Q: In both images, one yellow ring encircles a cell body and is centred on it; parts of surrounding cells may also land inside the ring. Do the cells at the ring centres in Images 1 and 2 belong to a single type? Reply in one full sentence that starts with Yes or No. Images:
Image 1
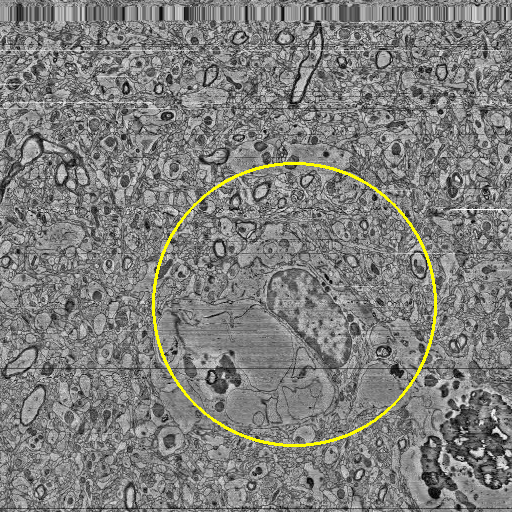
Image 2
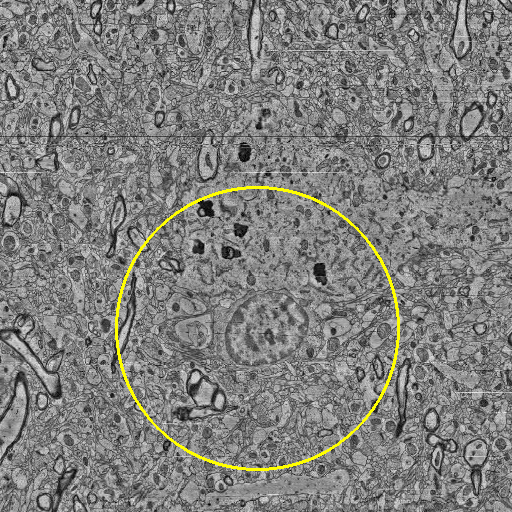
No, the cells at the ring centres in Images 1 and 2 are of two types.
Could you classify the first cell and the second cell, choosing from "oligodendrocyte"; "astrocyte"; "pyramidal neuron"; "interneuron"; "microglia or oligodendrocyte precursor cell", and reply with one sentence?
The second cell is an oligodendrocyte, while the first is a microglial cell or oligodendrocyte precursor cell.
